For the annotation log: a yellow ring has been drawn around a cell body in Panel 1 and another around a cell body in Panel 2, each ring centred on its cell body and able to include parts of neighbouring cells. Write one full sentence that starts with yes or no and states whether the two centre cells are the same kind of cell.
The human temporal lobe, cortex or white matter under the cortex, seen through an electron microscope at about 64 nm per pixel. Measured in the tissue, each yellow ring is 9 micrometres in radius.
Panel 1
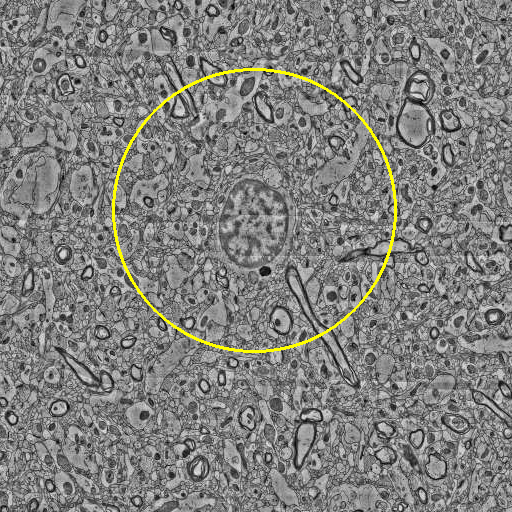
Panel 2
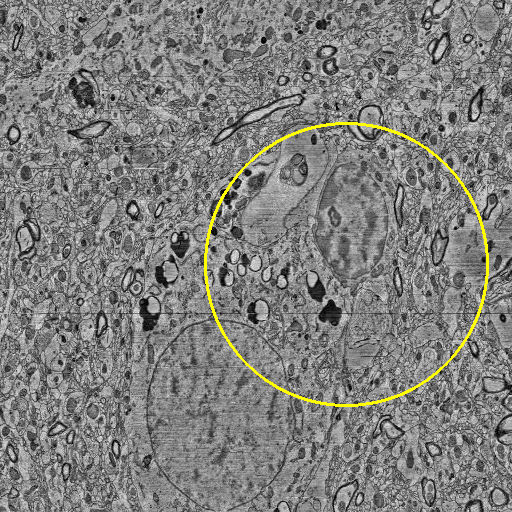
Yes, the two centre cells are the same kind of cell.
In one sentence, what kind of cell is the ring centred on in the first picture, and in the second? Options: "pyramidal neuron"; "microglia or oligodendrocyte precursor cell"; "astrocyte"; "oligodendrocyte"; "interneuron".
Both rings mark an oligodendrocyte, one in each picture.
